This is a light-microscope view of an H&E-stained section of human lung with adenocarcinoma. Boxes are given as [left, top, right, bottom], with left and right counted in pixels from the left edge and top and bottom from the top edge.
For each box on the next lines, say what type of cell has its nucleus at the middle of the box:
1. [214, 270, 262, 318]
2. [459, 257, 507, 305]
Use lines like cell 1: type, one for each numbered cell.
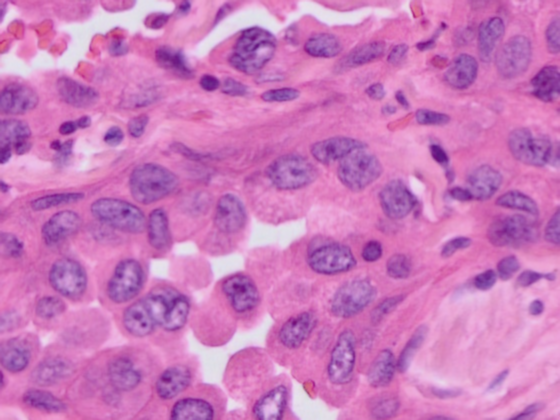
cell 1: carcinoma cell
cell 2: lymphocyte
